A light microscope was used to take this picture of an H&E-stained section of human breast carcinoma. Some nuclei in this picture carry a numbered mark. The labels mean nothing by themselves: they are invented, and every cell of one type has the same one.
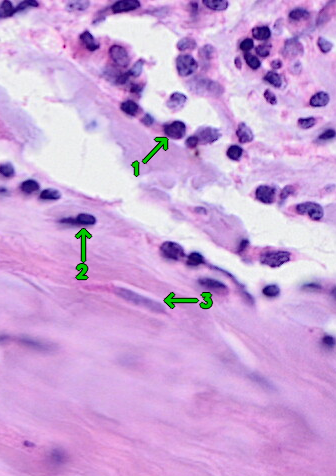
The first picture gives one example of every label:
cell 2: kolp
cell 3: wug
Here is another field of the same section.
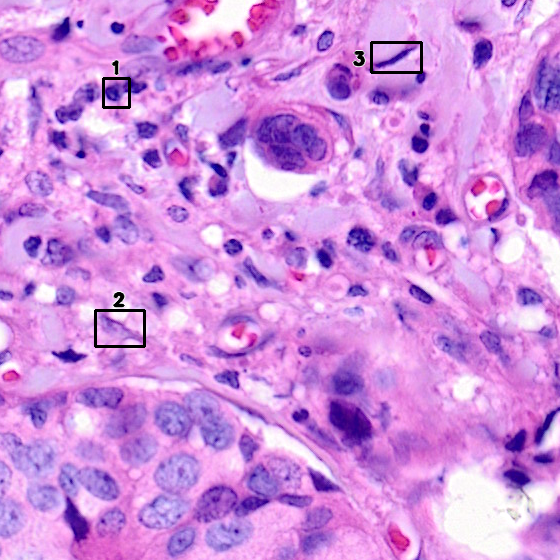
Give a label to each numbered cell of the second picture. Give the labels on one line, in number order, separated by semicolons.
kolp; wug; wug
